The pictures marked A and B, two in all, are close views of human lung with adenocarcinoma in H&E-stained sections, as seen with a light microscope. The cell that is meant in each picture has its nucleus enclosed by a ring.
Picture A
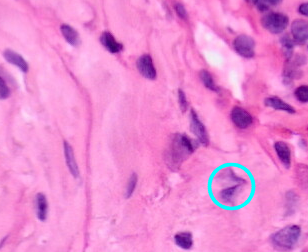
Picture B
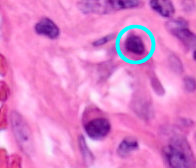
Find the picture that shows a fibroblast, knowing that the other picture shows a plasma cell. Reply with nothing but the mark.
A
